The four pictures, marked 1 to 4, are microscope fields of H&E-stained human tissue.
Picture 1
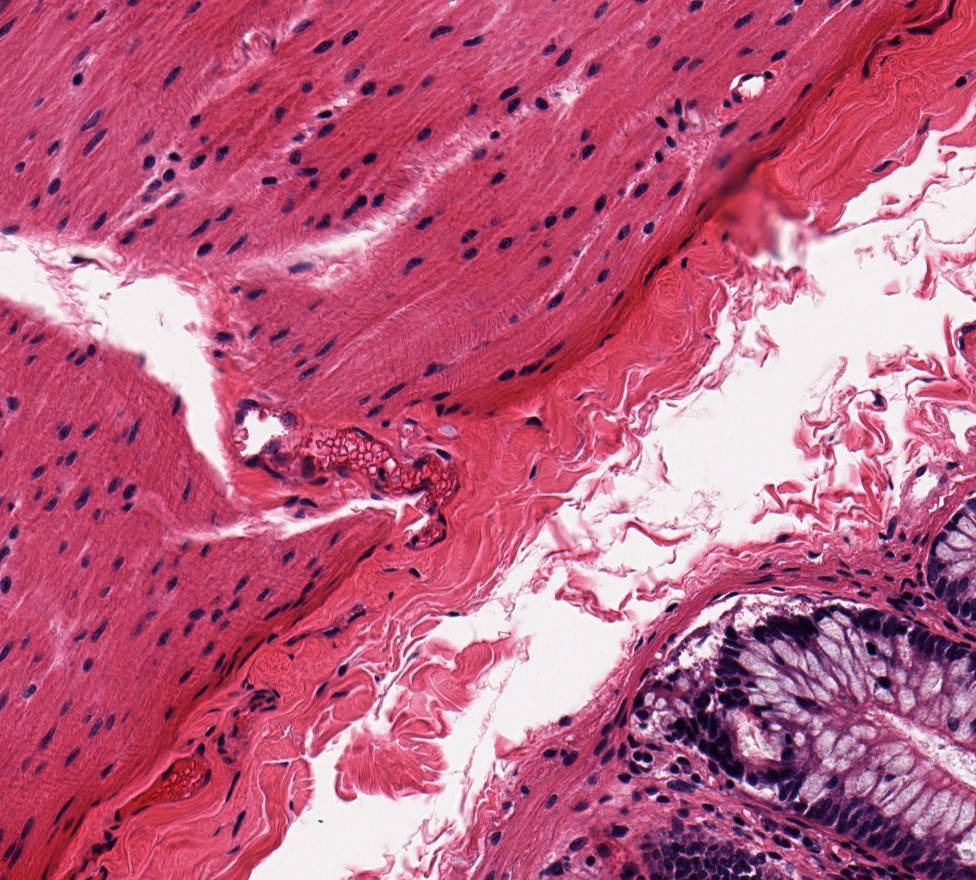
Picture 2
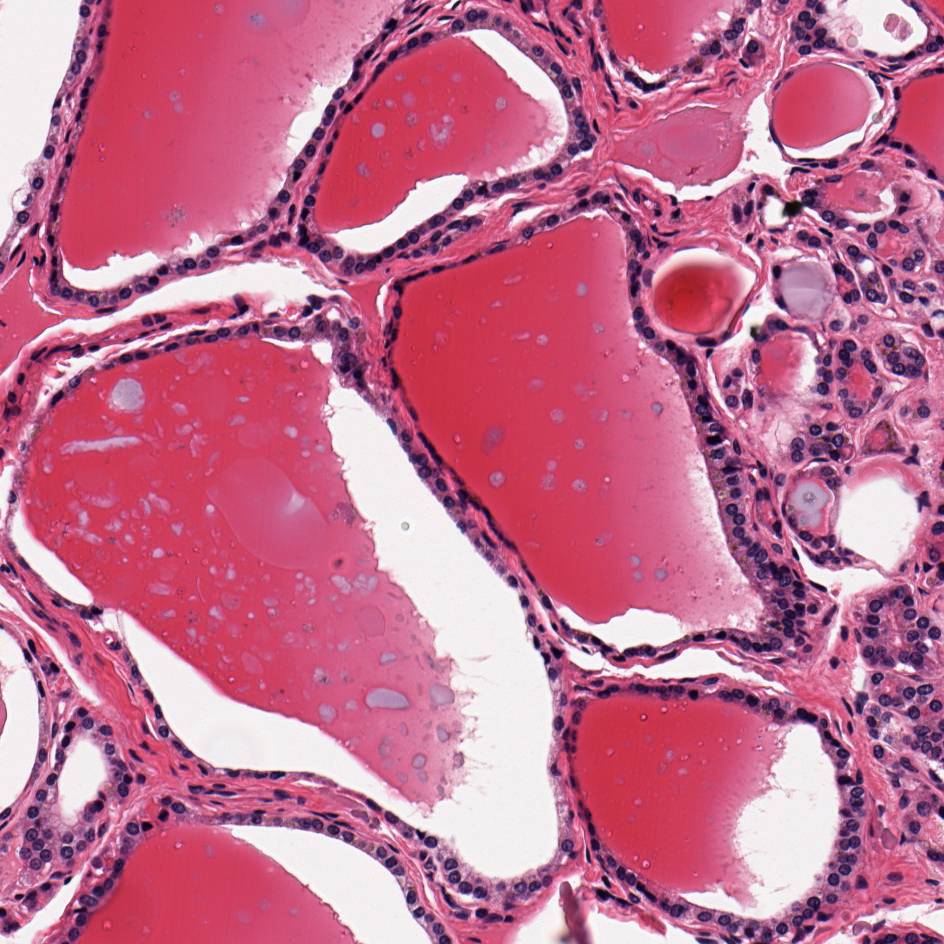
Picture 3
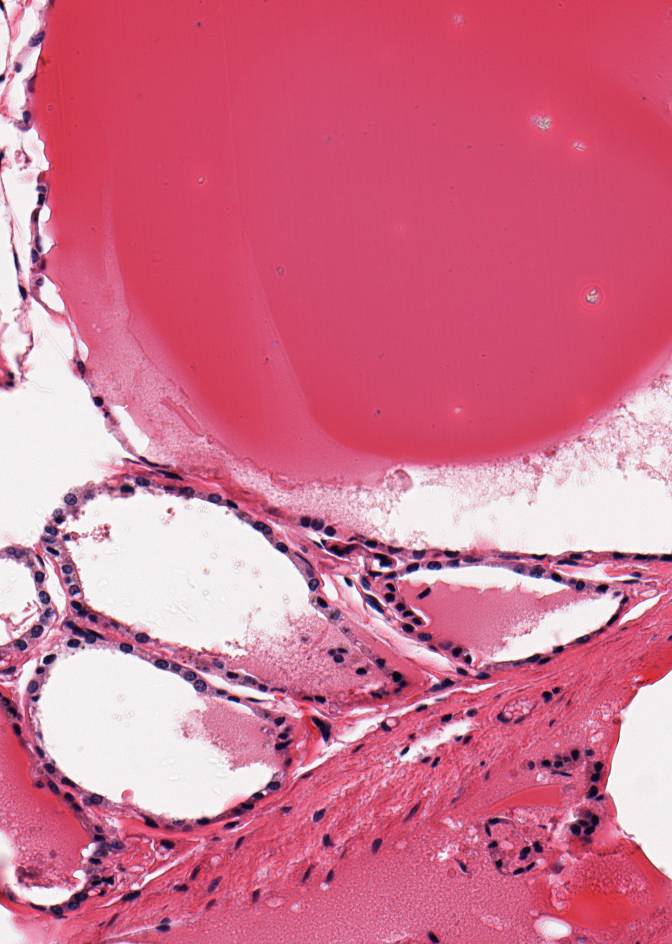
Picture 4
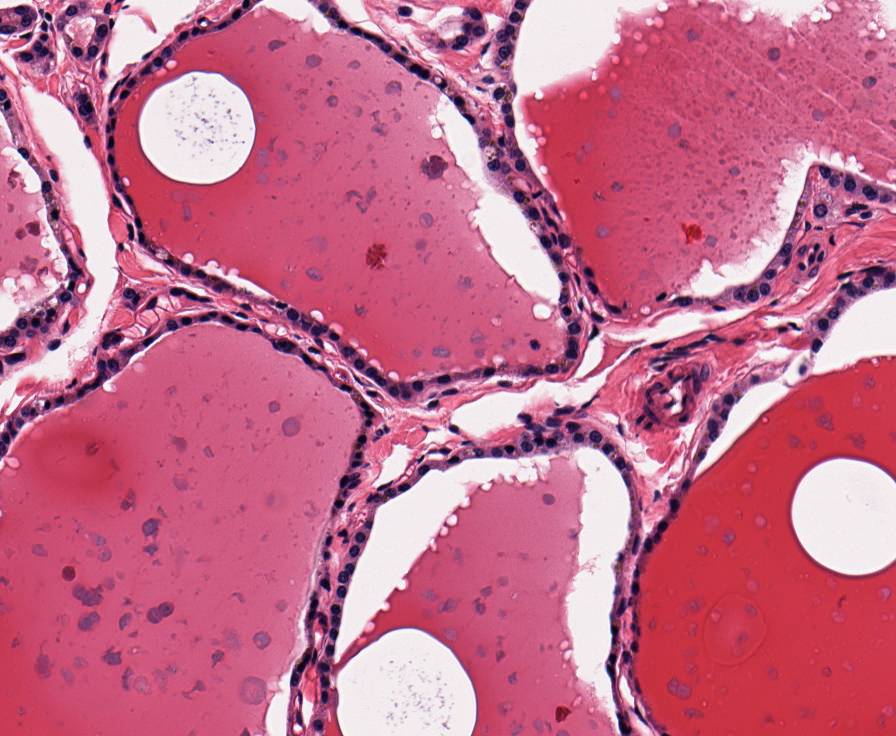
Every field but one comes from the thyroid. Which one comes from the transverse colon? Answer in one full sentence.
Picture 1 is the field that comes from the transverse colon.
